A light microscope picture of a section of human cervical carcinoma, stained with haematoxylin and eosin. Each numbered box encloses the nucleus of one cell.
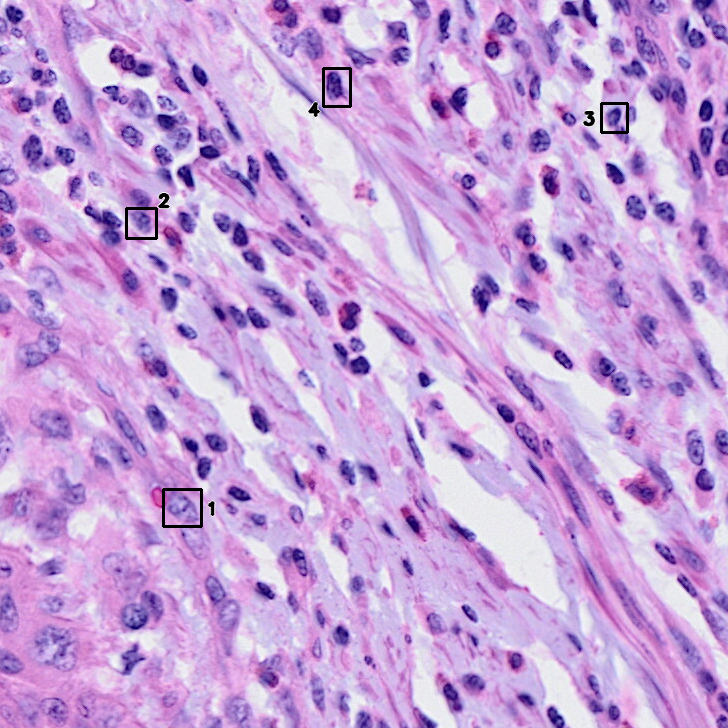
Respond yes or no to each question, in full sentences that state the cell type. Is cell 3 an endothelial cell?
No, calling cell 3 an endothelial cell is incorrect; it is a lymphocyte.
